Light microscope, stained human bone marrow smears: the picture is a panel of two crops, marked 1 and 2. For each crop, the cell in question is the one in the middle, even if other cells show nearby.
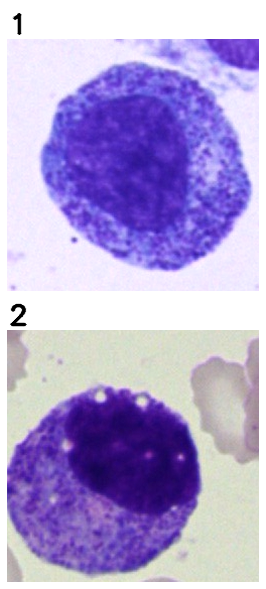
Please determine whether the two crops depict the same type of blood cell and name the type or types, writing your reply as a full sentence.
Yes, in the middle of both crops lie promyelocytes.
